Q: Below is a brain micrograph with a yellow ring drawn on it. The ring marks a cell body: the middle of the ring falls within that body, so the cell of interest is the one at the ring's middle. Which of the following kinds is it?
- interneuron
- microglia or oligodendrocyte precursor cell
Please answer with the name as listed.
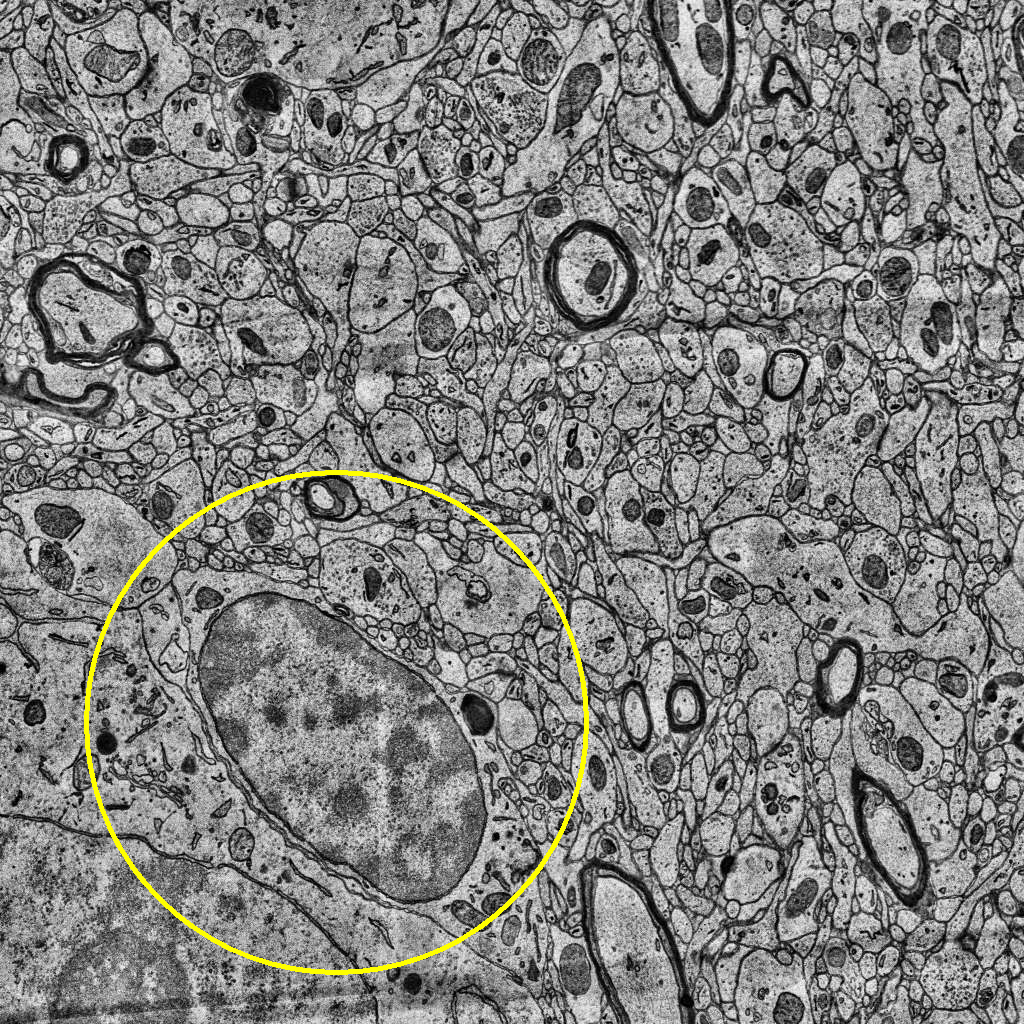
microglia or oligodendrocyte precursor cell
